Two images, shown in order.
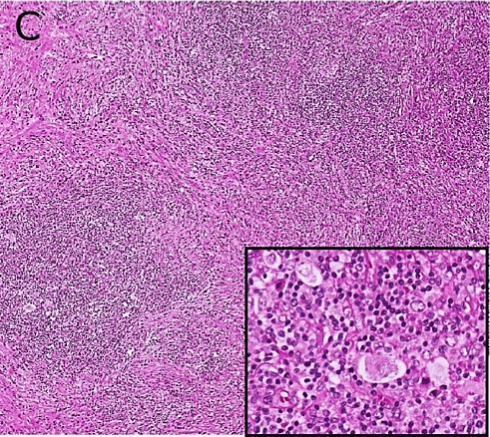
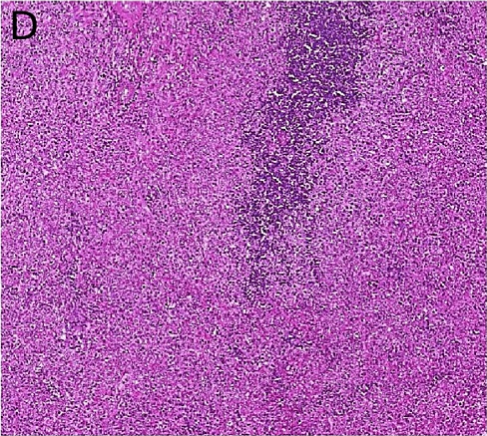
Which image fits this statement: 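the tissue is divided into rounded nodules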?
The first image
